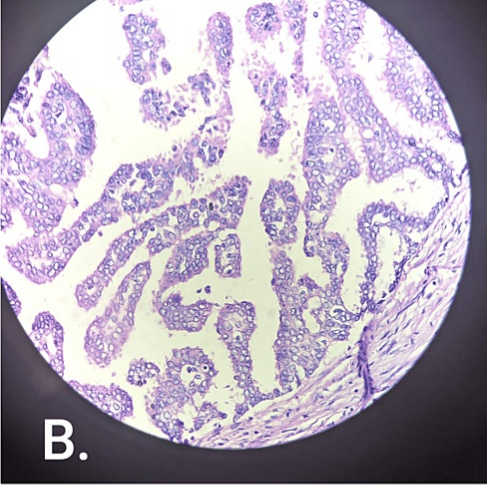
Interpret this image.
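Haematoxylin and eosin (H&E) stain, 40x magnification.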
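Numerous branching papillary fronds and small cell clusters, stained purple, fill most of the field with clear spaces between them. The fronds are covered by crowded cells with round, closely packed nuclei, some in several layers. In the lower right corner lies a band of pink, fibrous connective tissue with spindle-shaped nuclei. The tumor fronds press directly against this fibrous tissue. This is a papillary neoplasm with its underlying stroma.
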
